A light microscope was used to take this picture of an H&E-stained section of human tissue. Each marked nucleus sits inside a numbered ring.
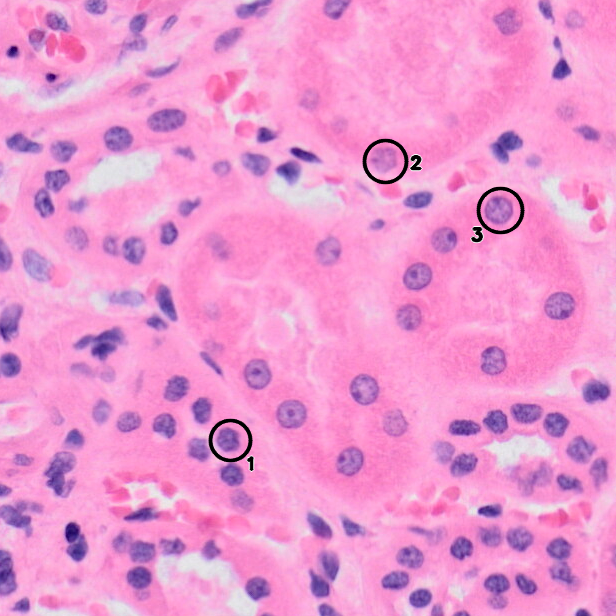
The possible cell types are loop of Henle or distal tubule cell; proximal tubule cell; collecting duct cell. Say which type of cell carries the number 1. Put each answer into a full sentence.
The cell indicated with the number 1 is classed as a loop of Henle or distal tubule cell.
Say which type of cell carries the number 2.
The cell marked with the number 2 is a proximal tubule cell.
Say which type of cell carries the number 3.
Cell number 3 in this section is a proximal tubule cell.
